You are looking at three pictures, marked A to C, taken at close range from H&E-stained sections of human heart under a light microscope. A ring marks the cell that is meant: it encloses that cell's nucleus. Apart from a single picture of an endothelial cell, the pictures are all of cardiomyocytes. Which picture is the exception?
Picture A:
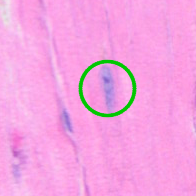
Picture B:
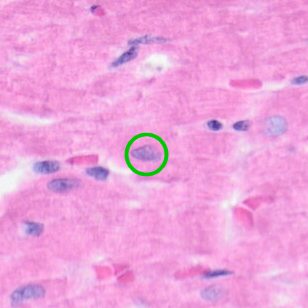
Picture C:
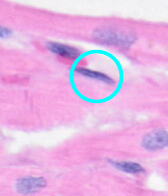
C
